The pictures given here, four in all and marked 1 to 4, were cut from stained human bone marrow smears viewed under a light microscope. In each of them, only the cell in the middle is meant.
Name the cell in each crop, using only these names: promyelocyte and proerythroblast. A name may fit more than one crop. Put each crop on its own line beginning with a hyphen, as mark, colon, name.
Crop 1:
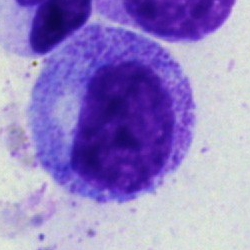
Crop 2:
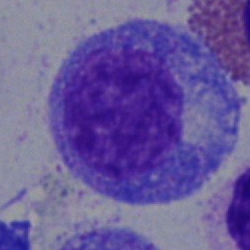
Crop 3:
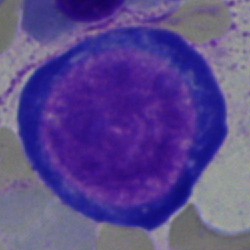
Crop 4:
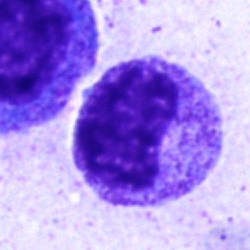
- 1: promyelocyte
- 2: promyelocyte
- 3: proerythroblast
- 4: promyelocyte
